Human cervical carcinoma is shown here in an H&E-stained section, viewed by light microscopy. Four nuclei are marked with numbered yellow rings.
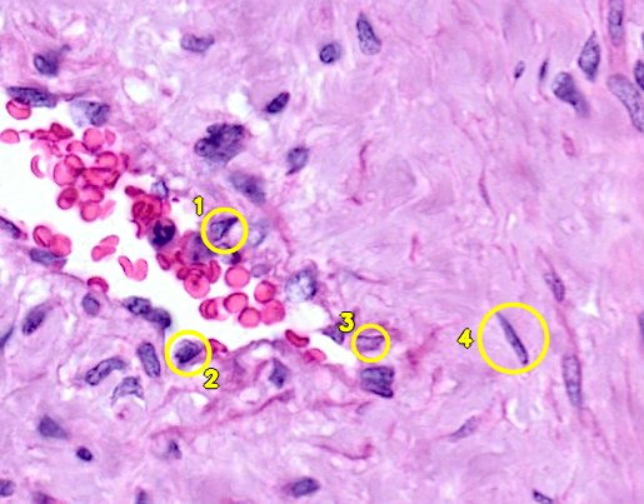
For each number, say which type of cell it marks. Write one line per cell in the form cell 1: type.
cell 1: endothelial cell
cell 2: endothelial cell
cell 3: endothelial cell
cell 4: fibroblast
